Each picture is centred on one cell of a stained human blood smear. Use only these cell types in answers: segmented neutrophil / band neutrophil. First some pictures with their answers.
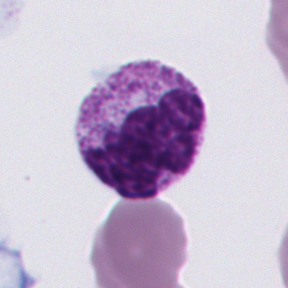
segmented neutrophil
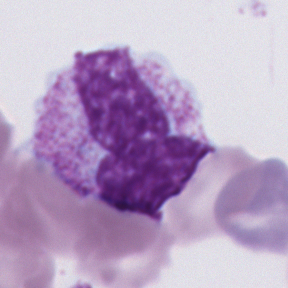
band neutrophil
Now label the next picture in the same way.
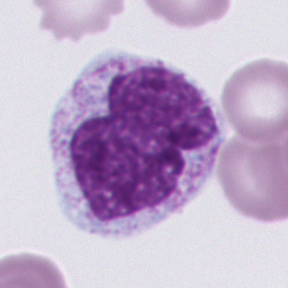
band neutrophil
